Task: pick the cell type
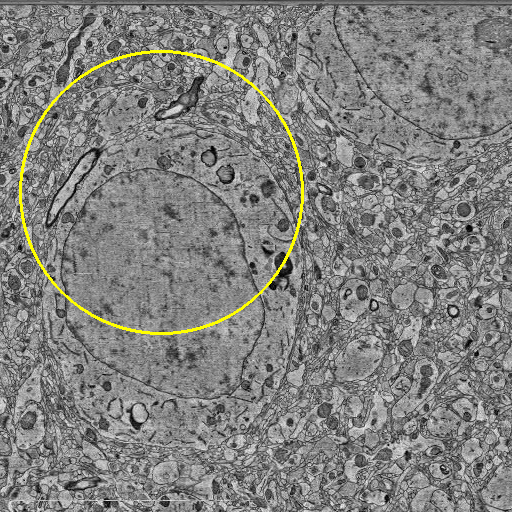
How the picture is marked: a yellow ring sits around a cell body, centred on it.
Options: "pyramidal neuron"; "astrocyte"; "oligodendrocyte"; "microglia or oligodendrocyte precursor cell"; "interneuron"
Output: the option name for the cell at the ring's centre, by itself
pyramidal neuron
